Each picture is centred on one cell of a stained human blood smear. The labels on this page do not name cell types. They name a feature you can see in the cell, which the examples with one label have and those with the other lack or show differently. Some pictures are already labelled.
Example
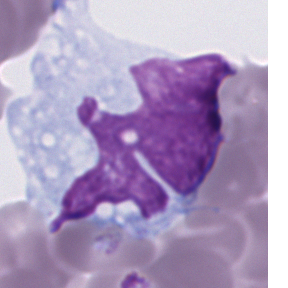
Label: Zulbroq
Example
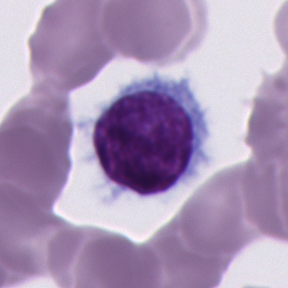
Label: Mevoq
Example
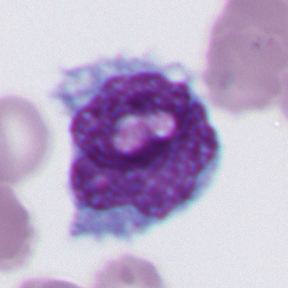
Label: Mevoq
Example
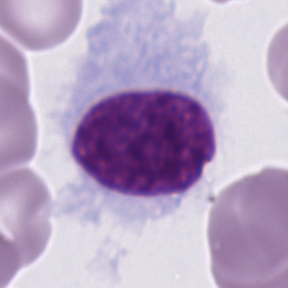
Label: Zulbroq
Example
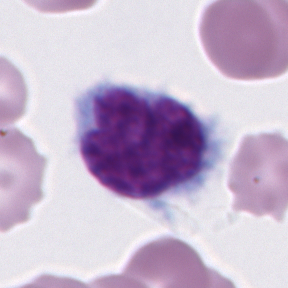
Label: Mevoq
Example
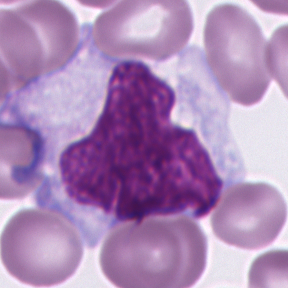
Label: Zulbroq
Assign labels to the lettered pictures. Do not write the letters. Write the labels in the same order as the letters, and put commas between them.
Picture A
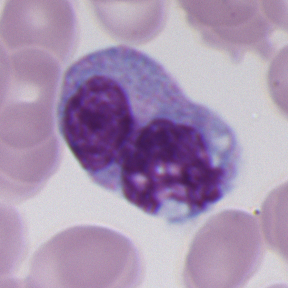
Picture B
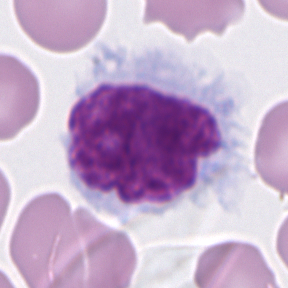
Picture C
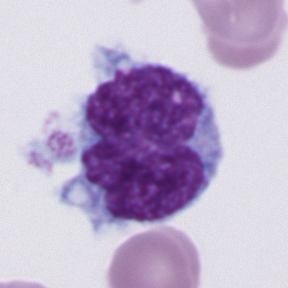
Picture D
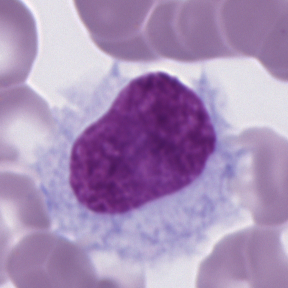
Zulbroq, Zulbroq, Mevoq, Zulbroq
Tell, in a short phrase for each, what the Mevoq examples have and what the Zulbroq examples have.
Mevoq: scant cytoplasm; Zulbroq: abundant cytoplasm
